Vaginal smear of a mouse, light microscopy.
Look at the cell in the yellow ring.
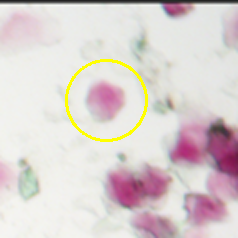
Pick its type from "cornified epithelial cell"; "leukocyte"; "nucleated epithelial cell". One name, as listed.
nucleated epithelial cell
